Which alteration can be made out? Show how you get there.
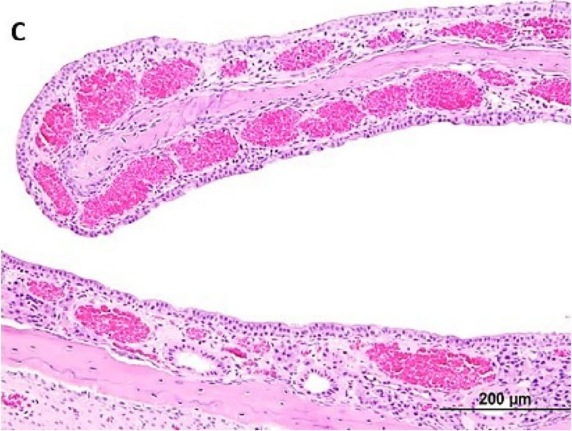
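Numerous vessels beneath the surface epithelium are distended and tightly packed with red blood cells. The packed vessels stain bright pink-red and occupy much of the connective tissue between epithelium and the pale central plate.
Answer: vascular congestion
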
